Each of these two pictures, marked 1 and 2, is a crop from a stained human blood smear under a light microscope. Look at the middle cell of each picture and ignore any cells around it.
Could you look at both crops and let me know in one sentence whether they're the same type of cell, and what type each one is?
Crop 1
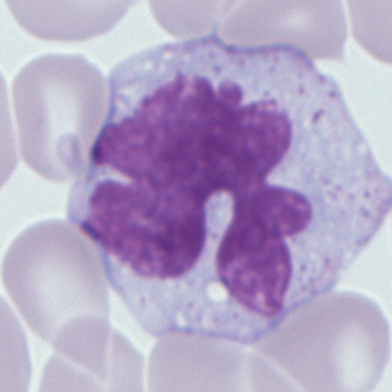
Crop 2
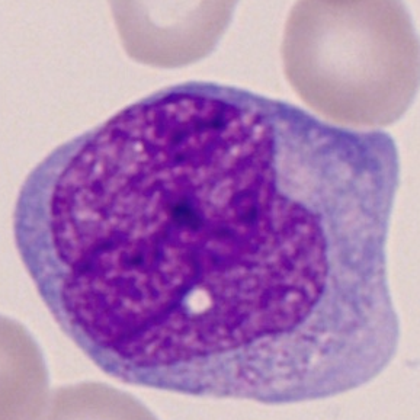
Yes, the centre of both crops is taken up by monocytes.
